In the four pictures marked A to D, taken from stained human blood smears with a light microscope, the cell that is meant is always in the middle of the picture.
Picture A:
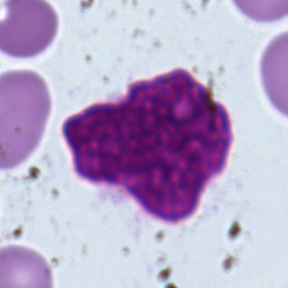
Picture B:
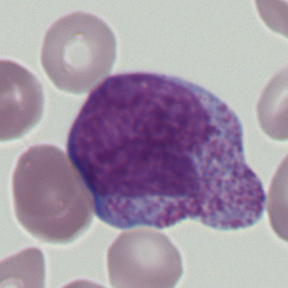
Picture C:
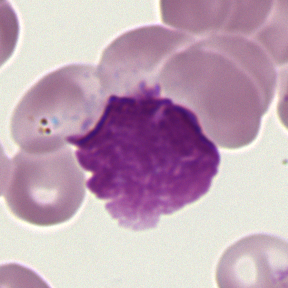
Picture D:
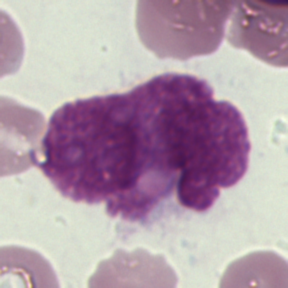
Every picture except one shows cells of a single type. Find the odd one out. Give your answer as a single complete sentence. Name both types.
Unlike the rest, which show smudge cells, picture B shows an atypical promyelocyte.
